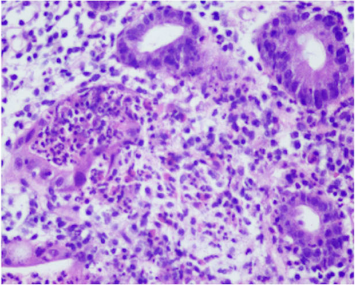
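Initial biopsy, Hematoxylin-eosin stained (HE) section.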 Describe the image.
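Several round crypts lined by tall columnar cells with basal nuclei sit in a pink stroma that holds many scattered inflammatory cells. Inflammatory cells cluster in the stroma between the crypts and lie close to and within the crypt lining. This is mucosal inflammation with neutrophil infiltration and cryptitis.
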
